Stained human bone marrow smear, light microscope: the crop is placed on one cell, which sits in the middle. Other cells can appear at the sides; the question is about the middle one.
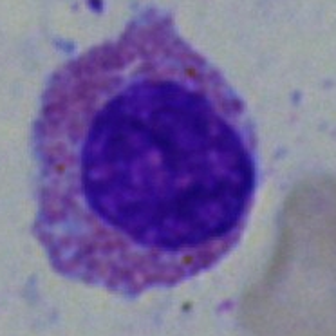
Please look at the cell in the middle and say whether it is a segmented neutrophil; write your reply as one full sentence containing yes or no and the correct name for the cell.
No, not a segmented neutrophil here; the centered cell is an eosinophil.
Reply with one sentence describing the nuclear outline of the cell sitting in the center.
If you check the nucleus, you will find one compact mass, round, oval or kidney-shaped.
